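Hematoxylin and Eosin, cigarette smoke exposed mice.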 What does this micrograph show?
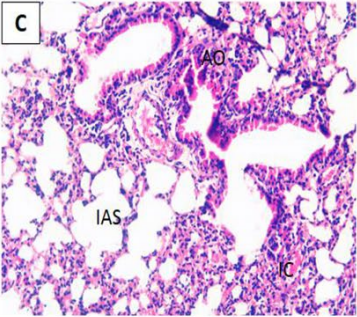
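Lung section with airways and surrounding parenchyma heavily infiltrated by inflammatory cells. Around the branching airways the tissue is dense, crowded with many small dark purple nuclei. Alveolar walls are thickened and cellular, so that many air spaces are narrowed or closed. Elsewhere some air spaces are irregular and enlarged.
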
